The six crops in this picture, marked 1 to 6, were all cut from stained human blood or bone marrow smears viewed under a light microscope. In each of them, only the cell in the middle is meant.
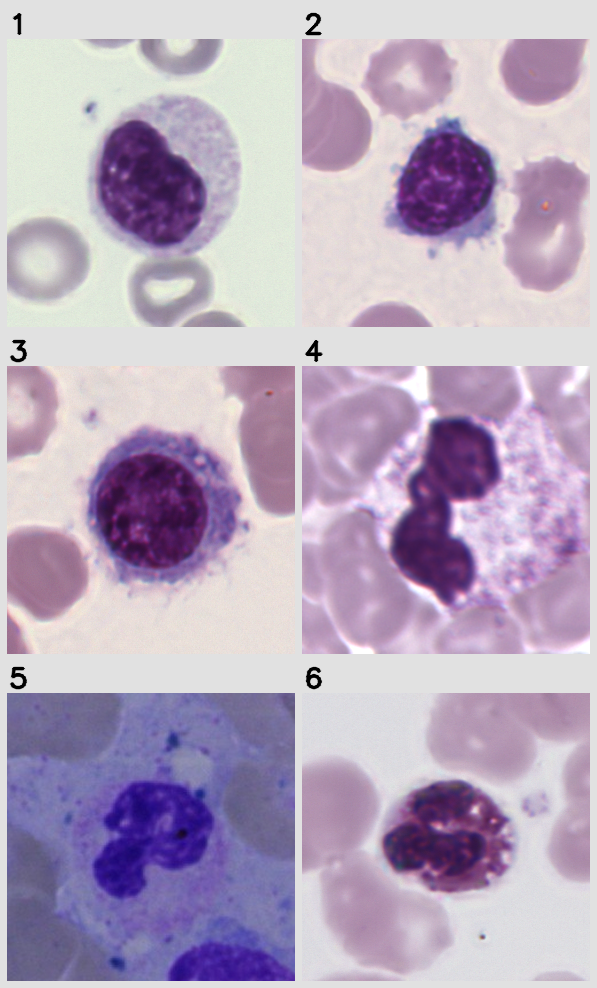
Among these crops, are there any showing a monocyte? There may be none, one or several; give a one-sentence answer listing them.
The count of crops showing a monocyte is zero.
